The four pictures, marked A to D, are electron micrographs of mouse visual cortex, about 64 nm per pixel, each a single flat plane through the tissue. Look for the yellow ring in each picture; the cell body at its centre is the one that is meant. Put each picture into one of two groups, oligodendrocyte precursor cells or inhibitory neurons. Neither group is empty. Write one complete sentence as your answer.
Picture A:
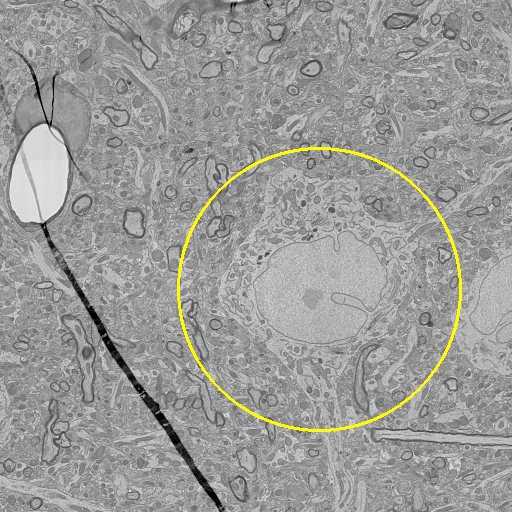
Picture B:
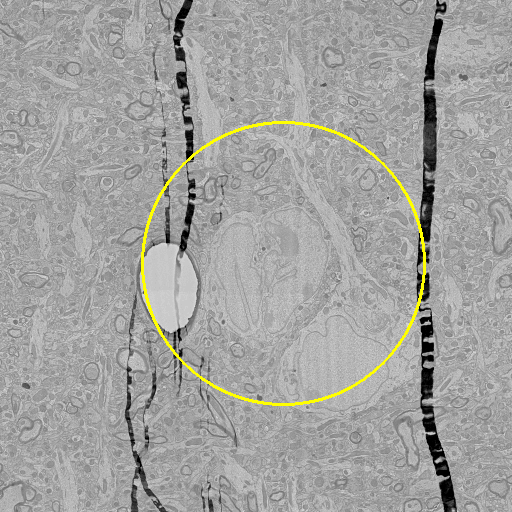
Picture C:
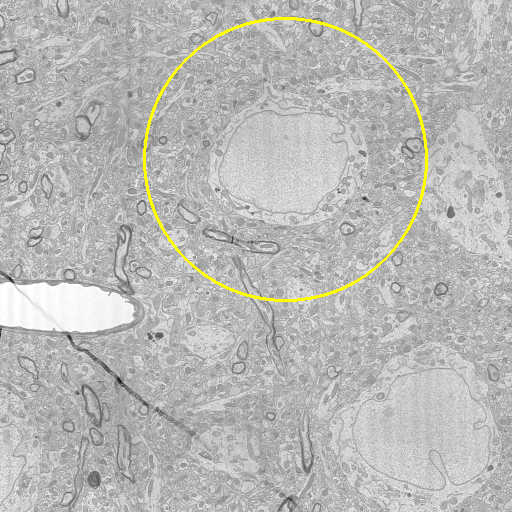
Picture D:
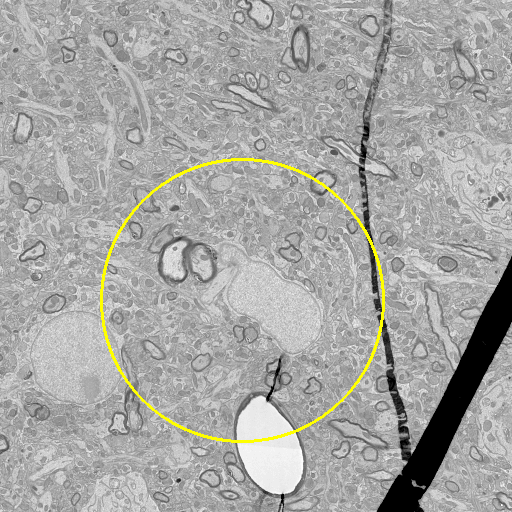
Pictures B and D show oligodendrocyte precursor cells; pictures A and C show inhibitory neurons.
